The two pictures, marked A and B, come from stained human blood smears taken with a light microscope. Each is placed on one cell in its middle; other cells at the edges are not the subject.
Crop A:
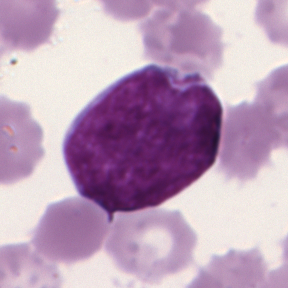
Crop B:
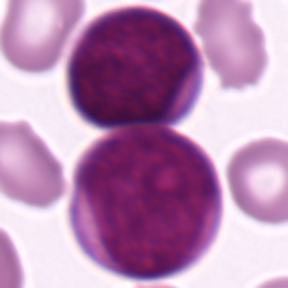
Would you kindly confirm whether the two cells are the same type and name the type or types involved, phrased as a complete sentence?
Yes, the pair of crops both show myeloblasts.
